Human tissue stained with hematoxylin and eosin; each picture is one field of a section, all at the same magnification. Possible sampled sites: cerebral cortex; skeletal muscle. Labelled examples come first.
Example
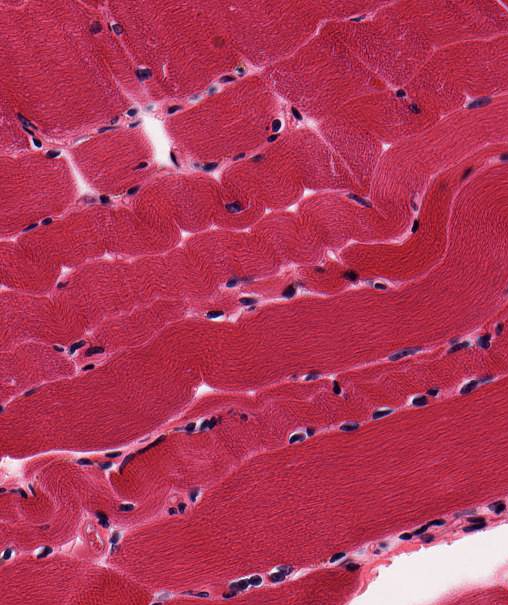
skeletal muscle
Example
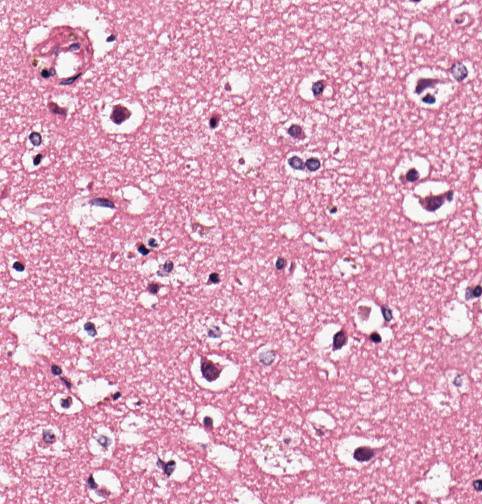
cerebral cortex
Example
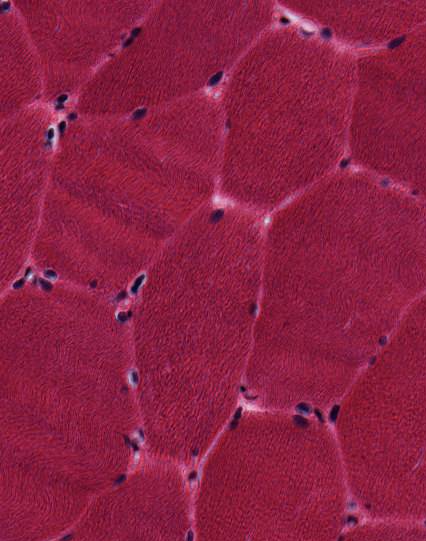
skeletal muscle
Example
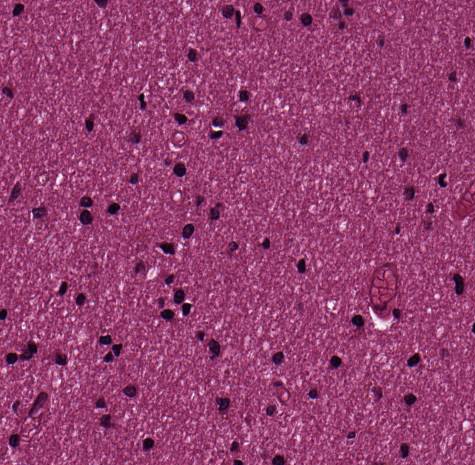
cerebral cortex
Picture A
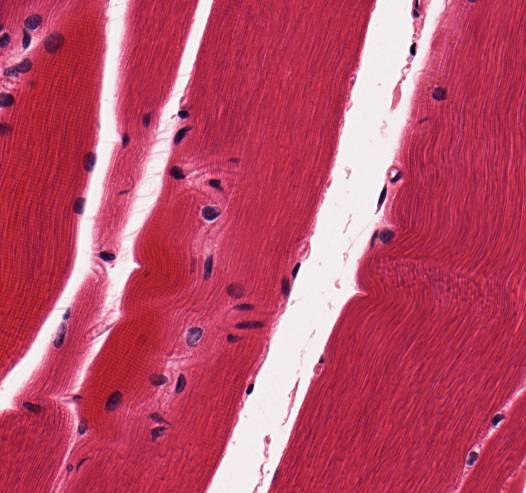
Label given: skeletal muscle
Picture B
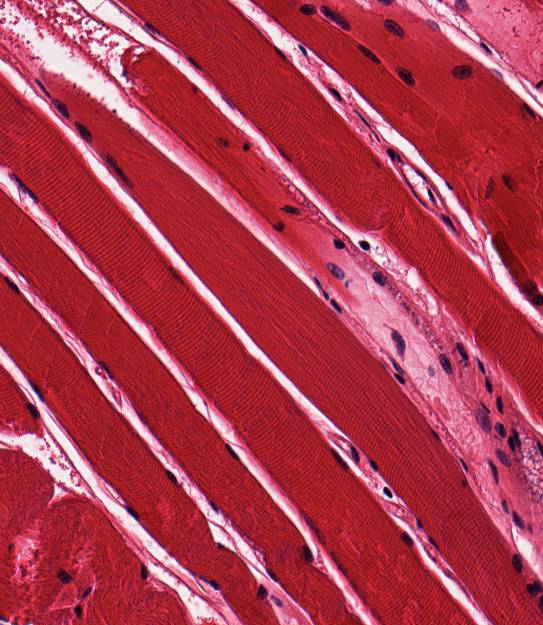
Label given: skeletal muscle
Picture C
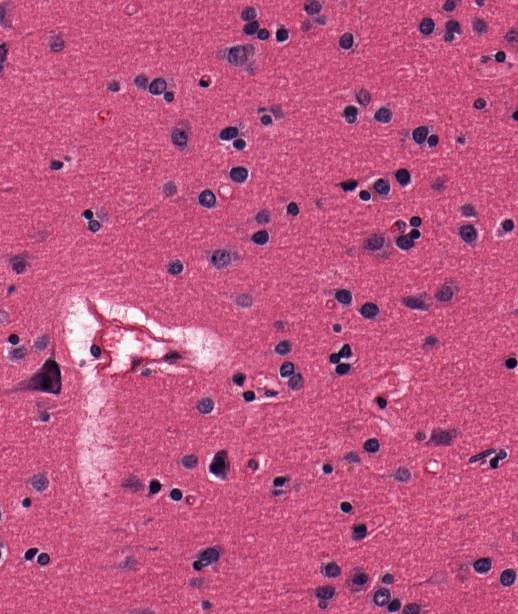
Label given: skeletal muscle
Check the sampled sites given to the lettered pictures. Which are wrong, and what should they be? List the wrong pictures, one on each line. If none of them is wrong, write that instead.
C: cerebral cortex, not skeletal muscle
